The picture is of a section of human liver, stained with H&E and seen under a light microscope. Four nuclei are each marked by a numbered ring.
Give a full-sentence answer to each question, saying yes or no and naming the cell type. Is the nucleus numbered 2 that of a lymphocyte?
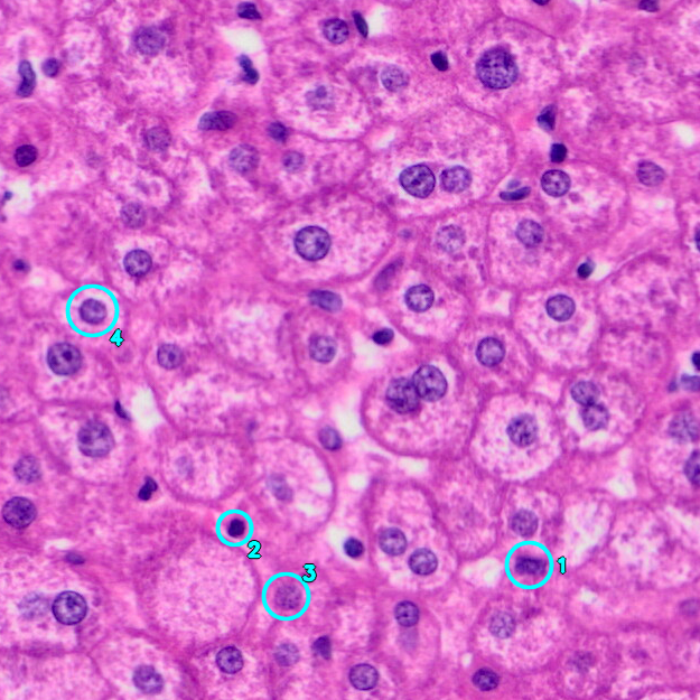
Yes, regarding cell number 2, it is a lymphocyte.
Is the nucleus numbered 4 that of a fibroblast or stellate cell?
No, the cell under number 4 is a hepatocyte, not a fibroblast or stellate cell.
